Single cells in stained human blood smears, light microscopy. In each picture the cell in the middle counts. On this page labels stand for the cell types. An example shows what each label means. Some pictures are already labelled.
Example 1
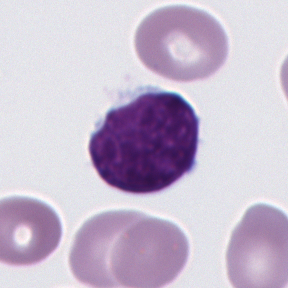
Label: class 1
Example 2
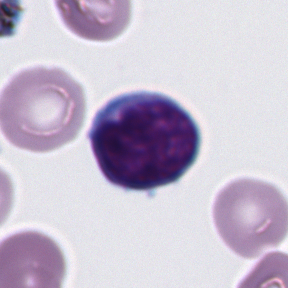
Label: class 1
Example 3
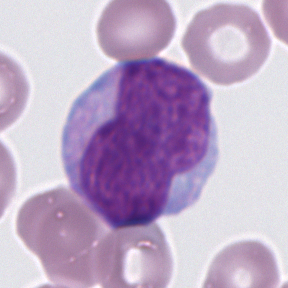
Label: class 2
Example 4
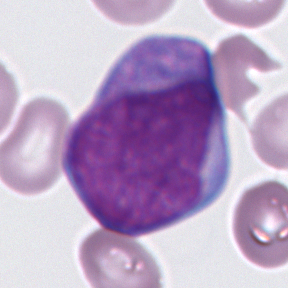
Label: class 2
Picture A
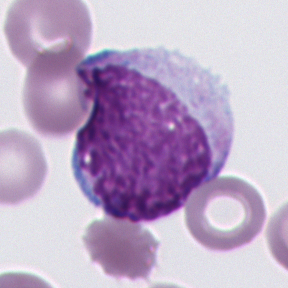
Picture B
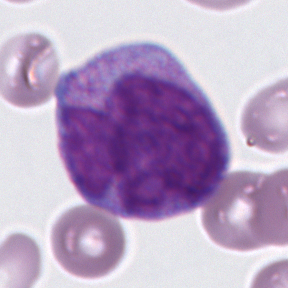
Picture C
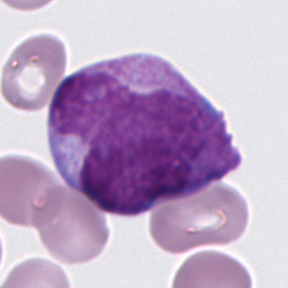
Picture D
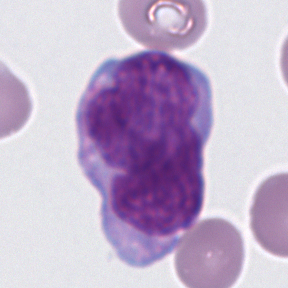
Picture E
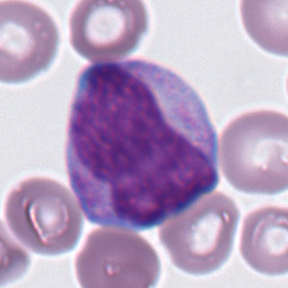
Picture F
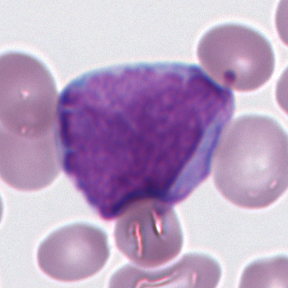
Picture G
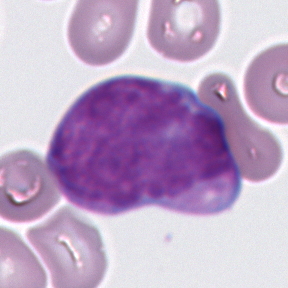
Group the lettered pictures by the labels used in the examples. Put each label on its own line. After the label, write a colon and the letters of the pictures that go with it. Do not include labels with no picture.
class 2: A, B, C, D, E, F, G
